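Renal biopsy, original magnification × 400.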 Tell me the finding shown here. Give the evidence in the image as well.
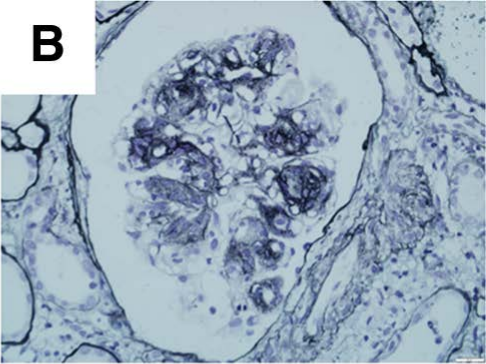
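The glomerular tufts are divided into swollen lobules. Dark-stained matrix is widened in the centres of the lobules.
Increased mesangial stroma.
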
